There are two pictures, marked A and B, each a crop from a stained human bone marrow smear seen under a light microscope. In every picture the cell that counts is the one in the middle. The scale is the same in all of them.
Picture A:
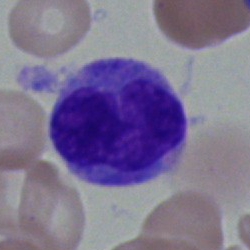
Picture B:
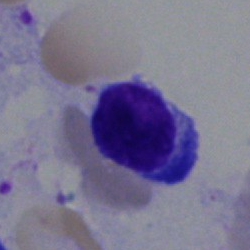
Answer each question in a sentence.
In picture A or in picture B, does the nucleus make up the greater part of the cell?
In picture A the nucleus takes up the larger part of its cell.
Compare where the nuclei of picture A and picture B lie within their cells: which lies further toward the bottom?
In picture A the nucleus is shifted more toward the bottom.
